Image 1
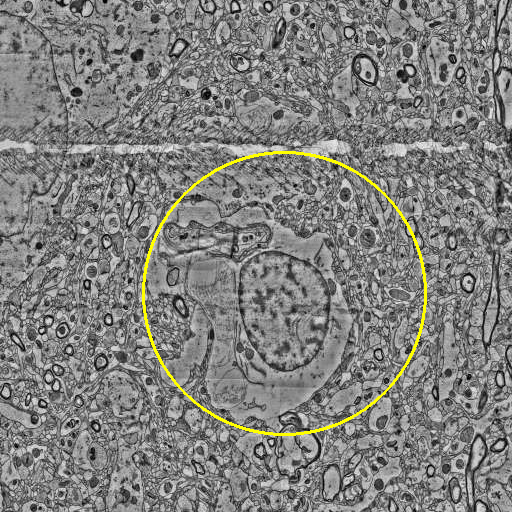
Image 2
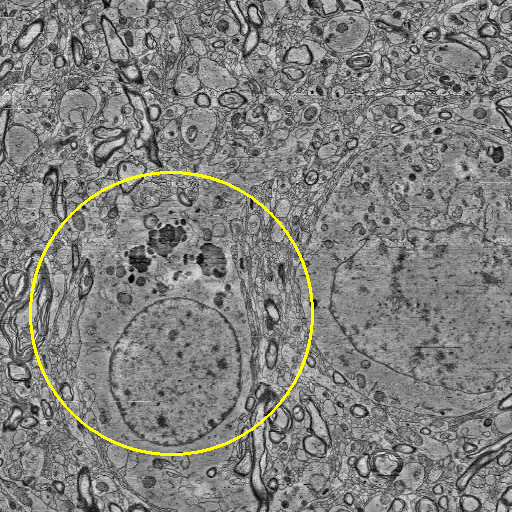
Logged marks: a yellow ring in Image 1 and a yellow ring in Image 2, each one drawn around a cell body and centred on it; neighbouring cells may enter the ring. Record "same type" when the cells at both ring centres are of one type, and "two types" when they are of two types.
same type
